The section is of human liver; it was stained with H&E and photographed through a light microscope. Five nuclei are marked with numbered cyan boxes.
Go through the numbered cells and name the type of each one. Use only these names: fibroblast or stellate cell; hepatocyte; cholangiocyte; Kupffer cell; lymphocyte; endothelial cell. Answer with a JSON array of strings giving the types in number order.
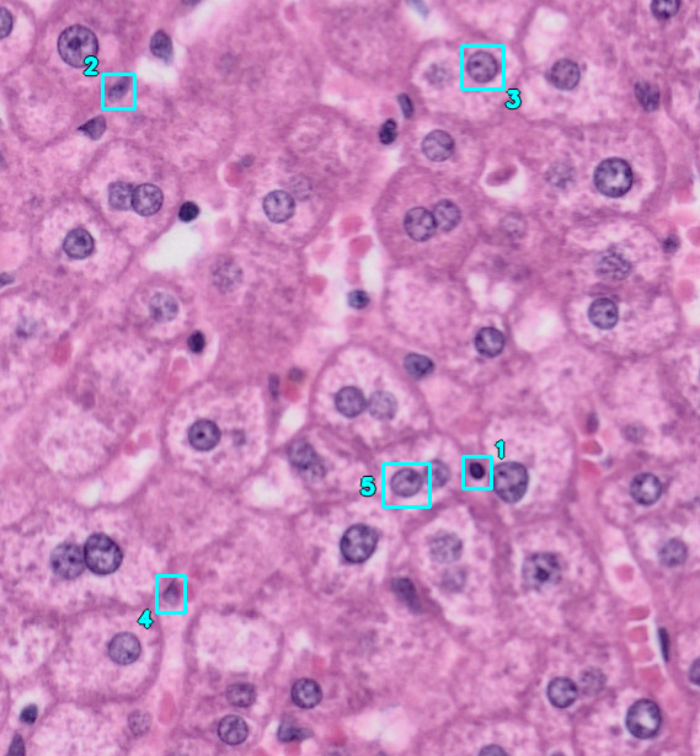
["lymphocyte", "fibroblast or stellate cell", "hepatocyte", "endothelial cell", "hepatocyte"]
